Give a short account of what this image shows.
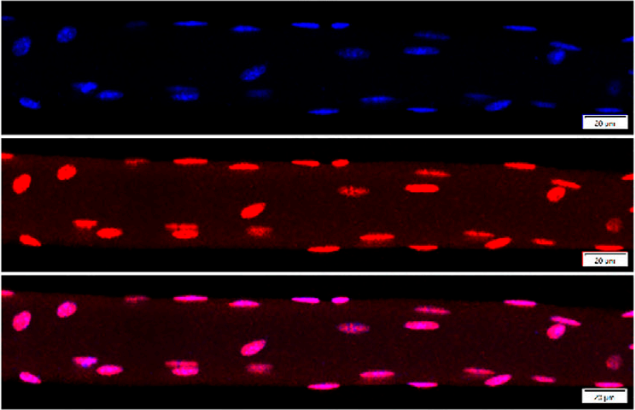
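This is a single skeletal muscle fiber lying lengthwise, a long band of even width with many nuclei inside it. In the red channel the nuclei glow brightly against a fainter red haze filling the fiber, so in the merged image they appear pink.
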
